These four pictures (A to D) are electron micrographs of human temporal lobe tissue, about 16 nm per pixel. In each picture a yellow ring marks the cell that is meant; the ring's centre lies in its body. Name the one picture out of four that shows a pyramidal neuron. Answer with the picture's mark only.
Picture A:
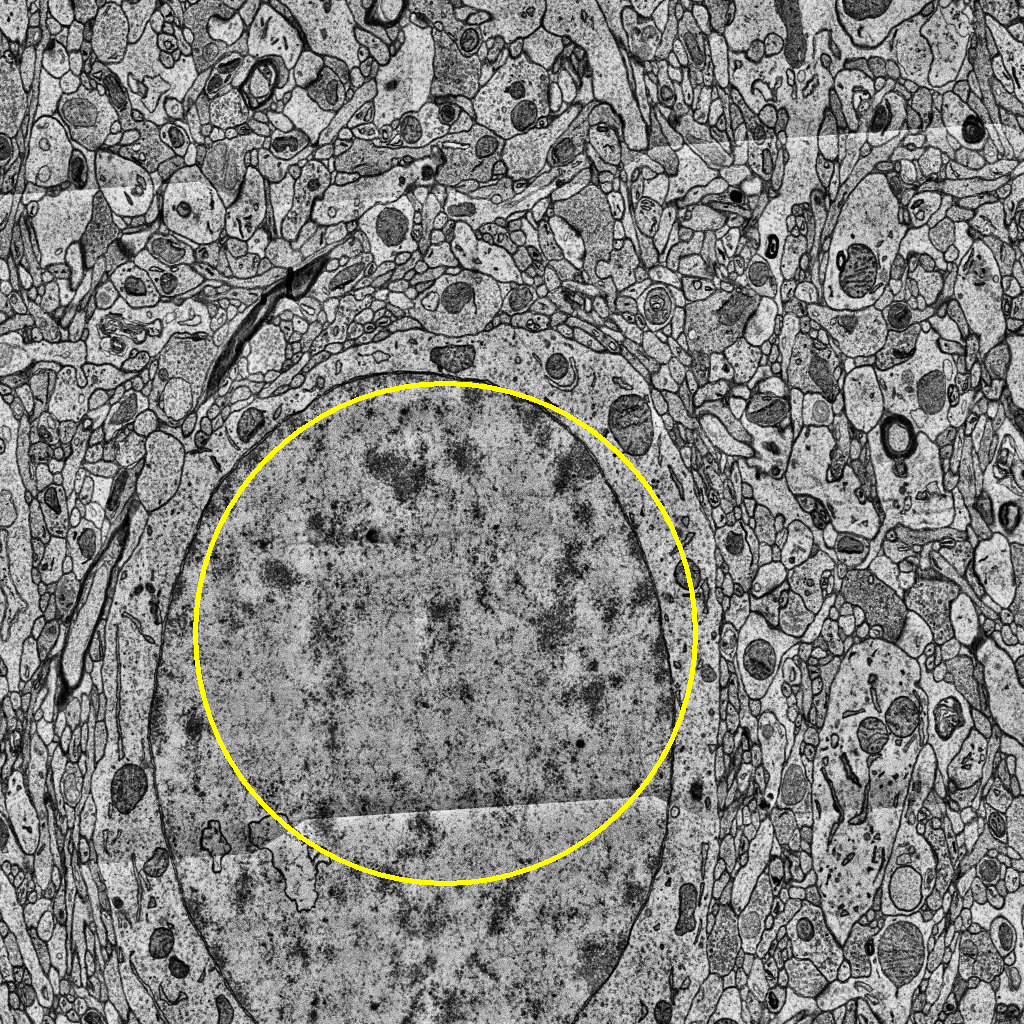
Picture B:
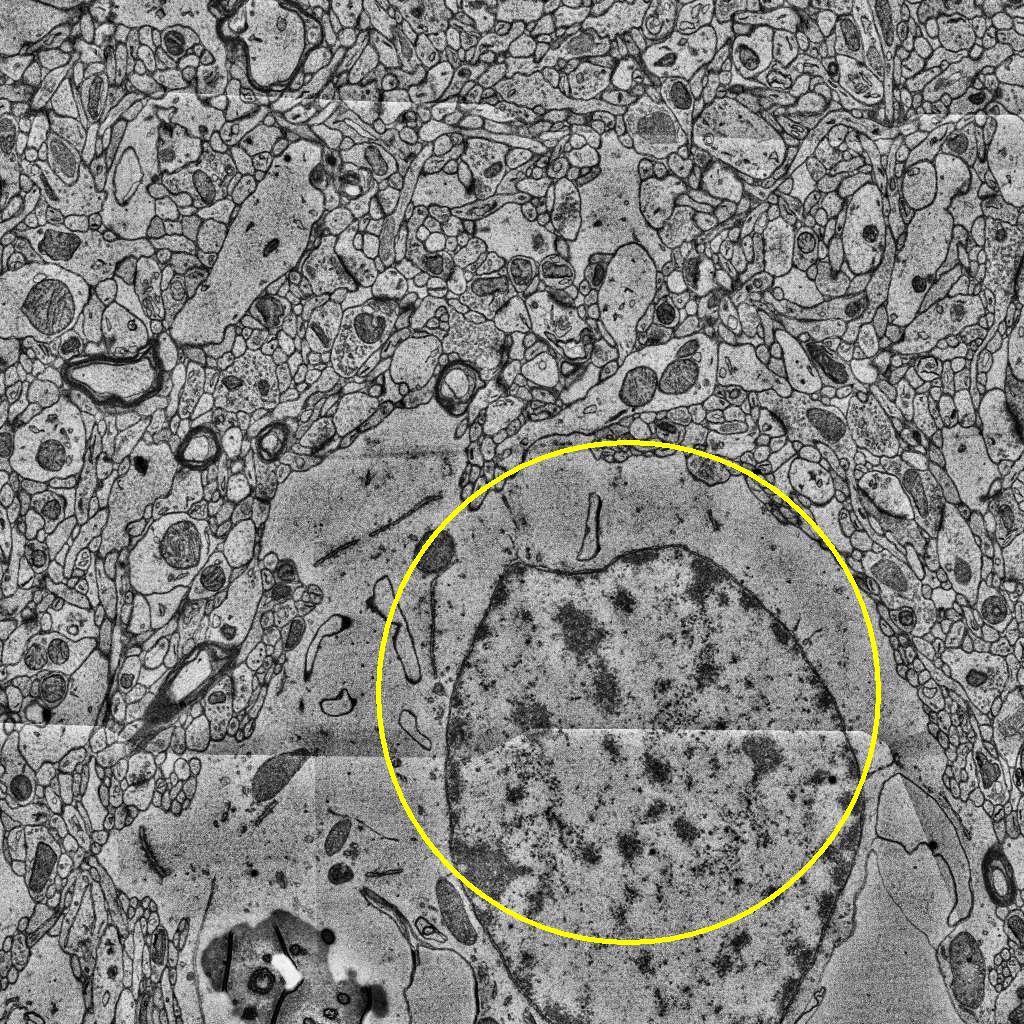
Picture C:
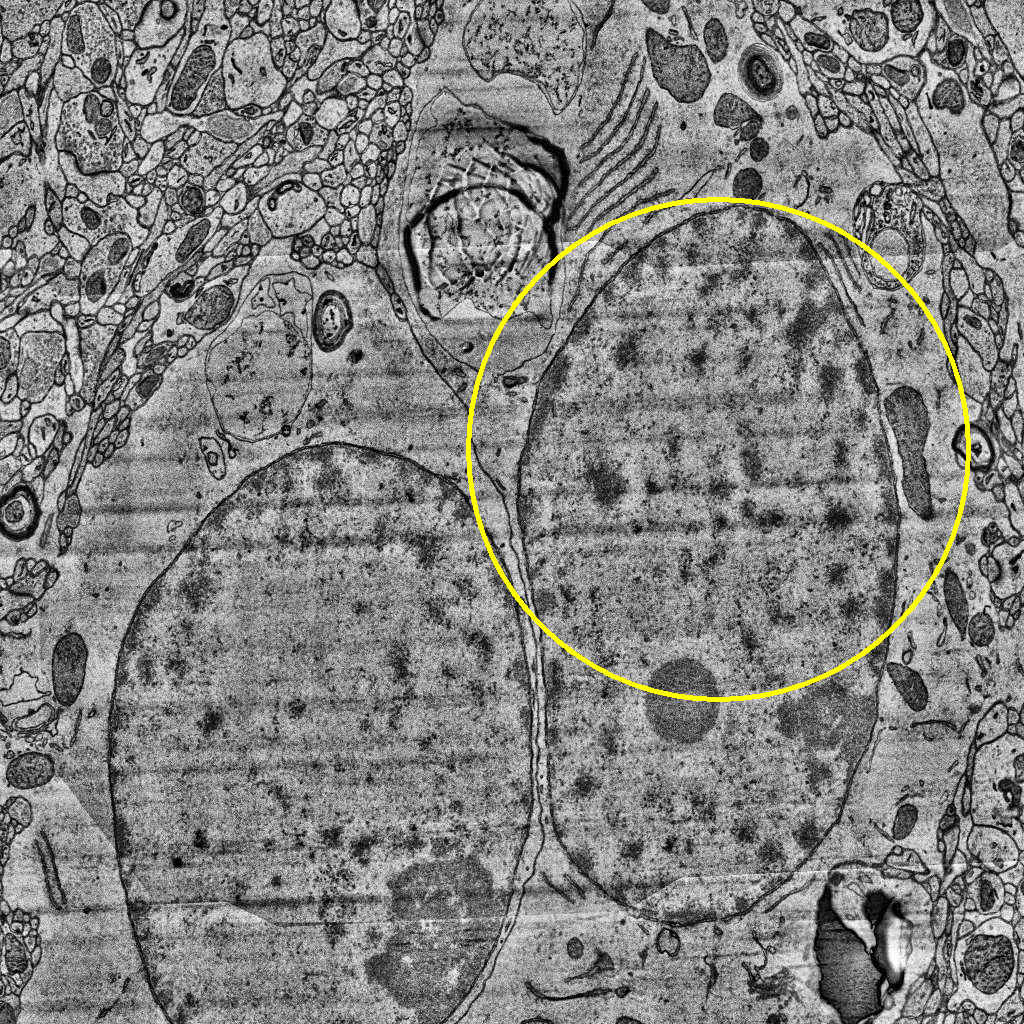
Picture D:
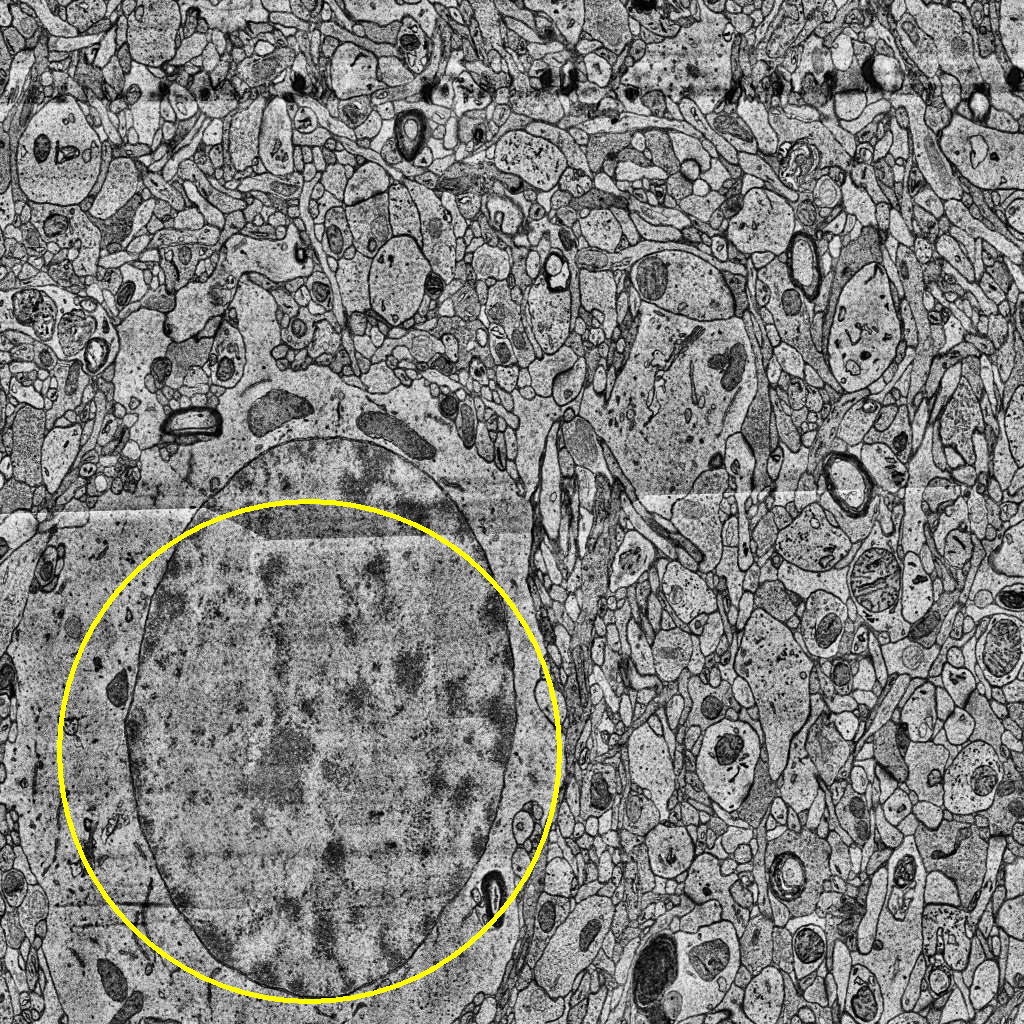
A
